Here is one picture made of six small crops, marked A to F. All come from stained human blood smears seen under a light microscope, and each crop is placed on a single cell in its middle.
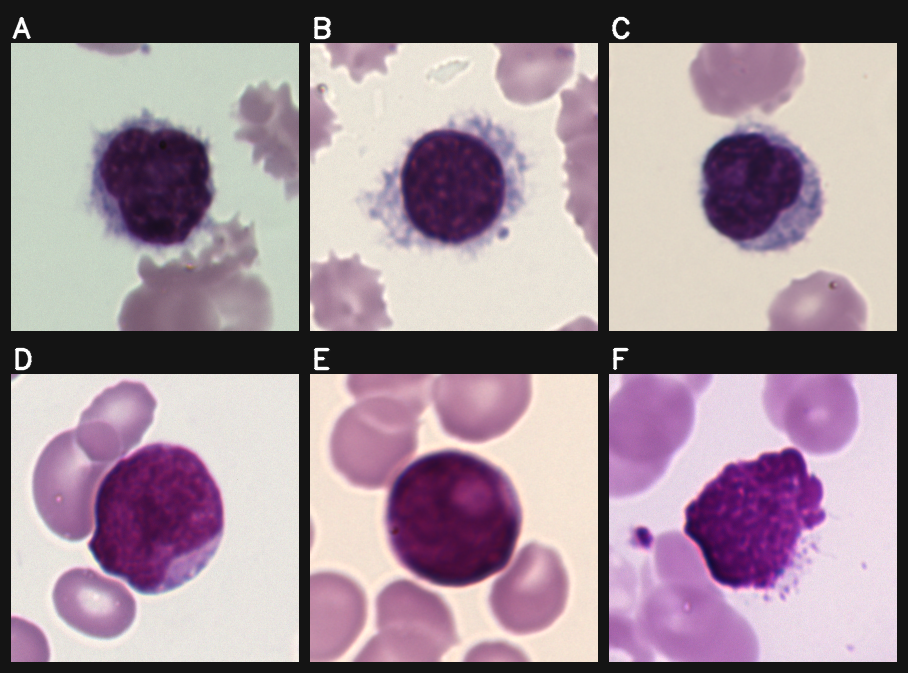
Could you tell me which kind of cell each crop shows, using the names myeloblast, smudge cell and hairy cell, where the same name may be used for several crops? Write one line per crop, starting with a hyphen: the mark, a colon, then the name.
- A: hairy cell
- B: hairy cell
- C: hairy cell
- D: myeloblast
- E: myeloblast
- F: smudge cell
